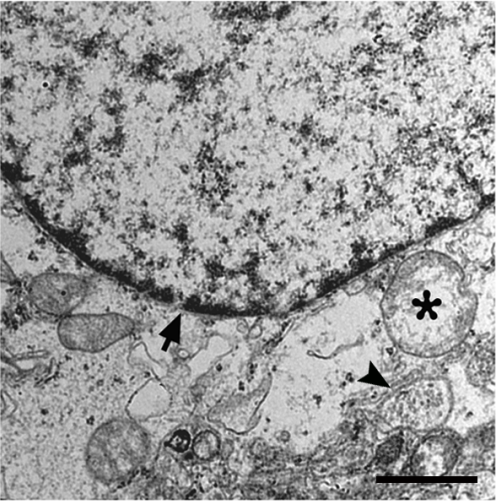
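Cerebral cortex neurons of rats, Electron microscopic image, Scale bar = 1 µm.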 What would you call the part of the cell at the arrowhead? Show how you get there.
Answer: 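The arrowhead points to membrane-bound sacs in the cytoplasm. The sacs are dilated and pale.
Answer: endoplasmic reticulum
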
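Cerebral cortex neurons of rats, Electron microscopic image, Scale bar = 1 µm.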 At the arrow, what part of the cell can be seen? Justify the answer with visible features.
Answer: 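Nuclear membrane. The arrow points to the dark line bounding the nucleus. Dense chromatin lines the inner side of this boundary.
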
